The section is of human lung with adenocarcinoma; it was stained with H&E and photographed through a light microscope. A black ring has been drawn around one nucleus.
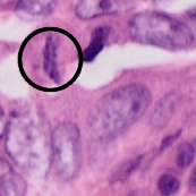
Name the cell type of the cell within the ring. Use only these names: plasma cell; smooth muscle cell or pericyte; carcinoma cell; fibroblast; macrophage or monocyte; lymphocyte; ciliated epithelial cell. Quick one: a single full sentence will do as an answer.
It is a carcinoma cell that the cell within the ring represents.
